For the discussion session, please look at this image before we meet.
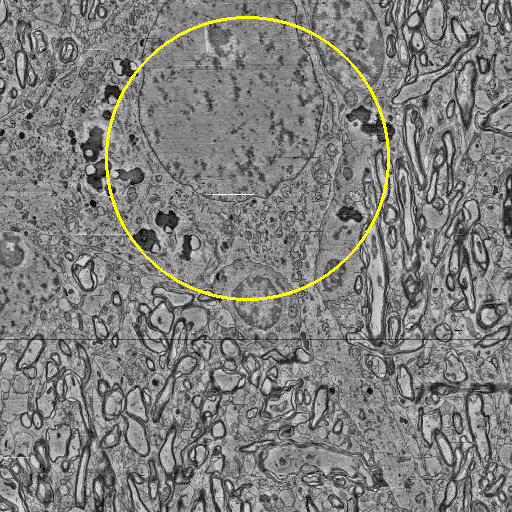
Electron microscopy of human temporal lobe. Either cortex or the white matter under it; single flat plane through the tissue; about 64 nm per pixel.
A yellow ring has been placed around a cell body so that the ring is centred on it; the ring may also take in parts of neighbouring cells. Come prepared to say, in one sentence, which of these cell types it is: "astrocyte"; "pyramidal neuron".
The cell centred in the ring is a pyramidal neuron.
